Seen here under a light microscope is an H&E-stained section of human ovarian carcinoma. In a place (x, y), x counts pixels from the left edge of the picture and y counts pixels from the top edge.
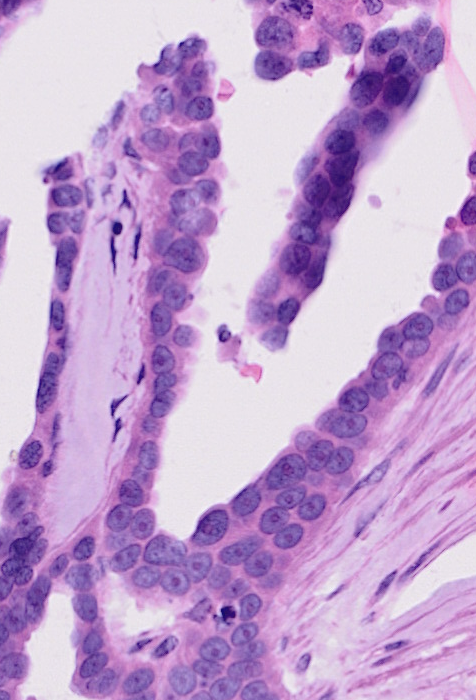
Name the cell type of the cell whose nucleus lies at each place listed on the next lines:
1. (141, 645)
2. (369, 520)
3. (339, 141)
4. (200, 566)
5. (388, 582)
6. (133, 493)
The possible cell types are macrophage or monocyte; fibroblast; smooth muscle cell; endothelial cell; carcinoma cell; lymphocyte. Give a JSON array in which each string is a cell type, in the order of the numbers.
["fibroblast", "fibroblast", "carcinoma cell", "carcinoma cell", "fibroblast", "carcinoma cell"]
